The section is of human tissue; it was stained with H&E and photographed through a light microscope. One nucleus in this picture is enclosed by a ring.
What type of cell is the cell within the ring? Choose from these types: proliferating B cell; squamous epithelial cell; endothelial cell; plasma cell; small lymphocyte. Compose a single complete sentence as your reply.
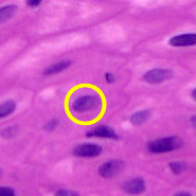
Among the cells in this section, the cell within the ring is a squamous epithelial cell.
